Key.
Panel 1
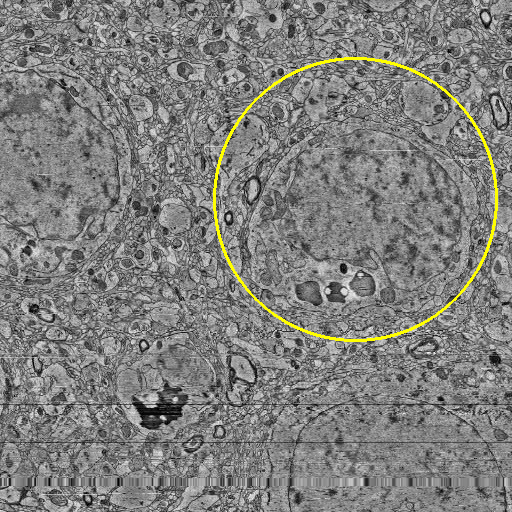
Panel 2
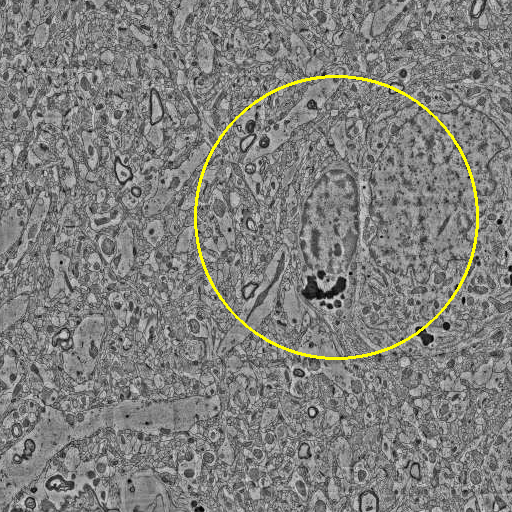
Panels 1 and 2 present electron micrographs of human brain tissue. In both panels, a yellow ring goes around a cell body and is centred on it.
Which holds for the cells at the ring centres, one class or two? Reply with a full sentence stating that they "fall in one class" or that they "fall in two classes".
Taken together, the ring-centre cells of the two panels fall in two classes.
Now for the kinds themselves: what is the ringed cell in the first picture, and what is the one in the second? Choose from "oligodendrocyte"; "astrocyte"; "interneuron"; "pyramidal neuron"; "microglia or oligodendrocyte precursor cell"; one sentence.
Here the first cell is an interneuron and the second cell is an oligodendrocyte.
